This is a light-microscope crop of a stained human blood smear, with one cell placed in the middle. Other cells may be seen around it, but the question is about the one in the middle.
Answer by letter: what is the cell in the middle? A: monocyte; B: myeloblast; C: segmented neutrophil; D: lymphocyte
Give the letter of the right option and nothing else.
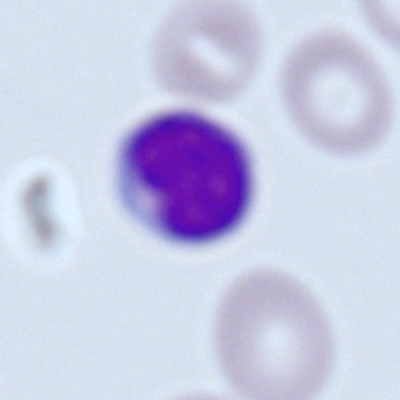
D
